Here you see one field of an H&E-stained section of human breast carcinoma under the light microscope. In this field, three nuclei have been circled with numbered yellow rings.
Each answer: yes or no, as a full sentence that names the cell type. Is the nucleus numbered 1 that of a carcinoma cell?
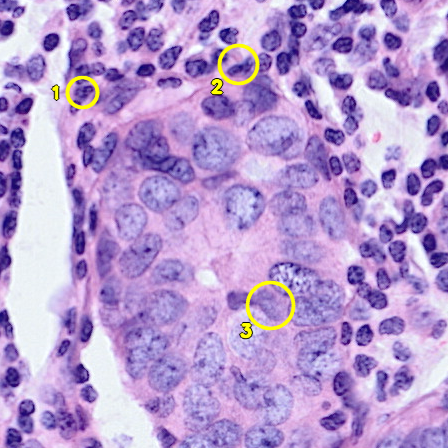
No, the cell at marker 1 is not a carcinoma cell; it is a lymphocyte.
